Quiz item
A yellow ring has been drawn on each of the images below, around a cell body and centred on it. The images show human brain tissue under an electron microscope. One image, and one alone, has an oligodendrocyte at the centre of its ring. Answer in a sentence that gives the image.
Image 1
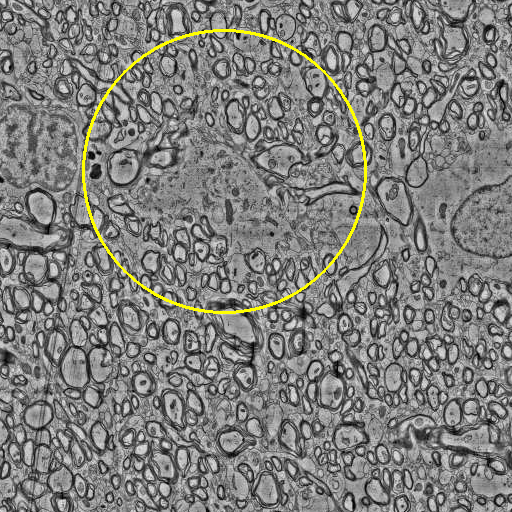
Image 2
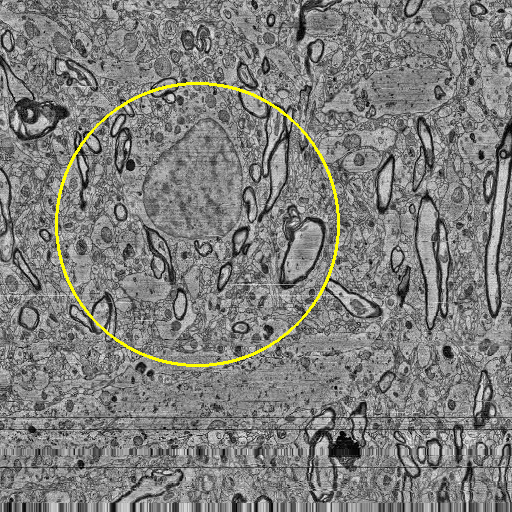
Image 2 shows it at the centre of the ring.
